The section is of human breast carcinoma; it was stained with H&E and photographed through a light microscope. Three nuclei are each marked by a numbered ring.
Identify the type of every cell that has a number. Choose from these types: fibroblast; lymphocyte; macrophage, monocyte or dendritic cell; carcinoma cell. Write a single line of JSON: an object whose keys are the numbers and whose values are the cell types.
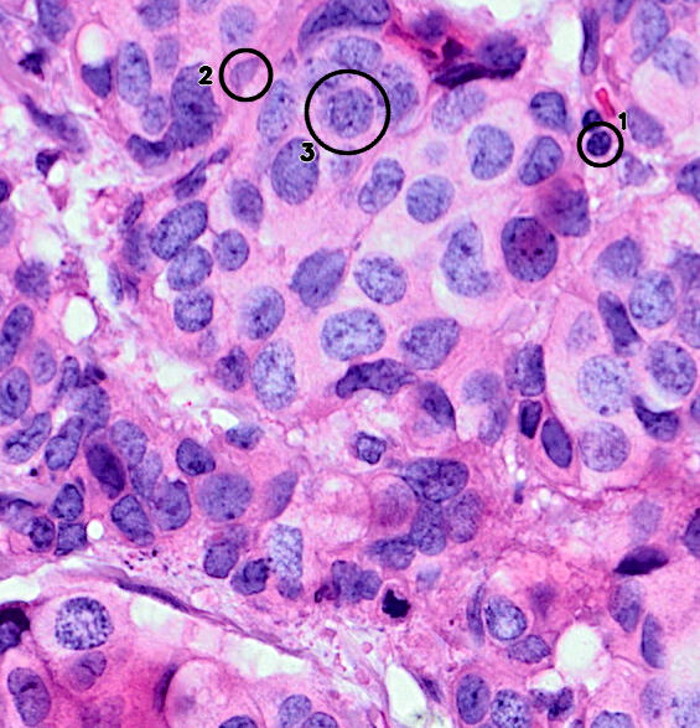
{"1": "lymphocyte", "2": "carcinoma cell", "3": "carcinoma cell"}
